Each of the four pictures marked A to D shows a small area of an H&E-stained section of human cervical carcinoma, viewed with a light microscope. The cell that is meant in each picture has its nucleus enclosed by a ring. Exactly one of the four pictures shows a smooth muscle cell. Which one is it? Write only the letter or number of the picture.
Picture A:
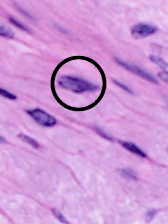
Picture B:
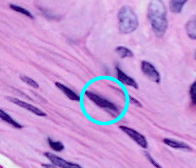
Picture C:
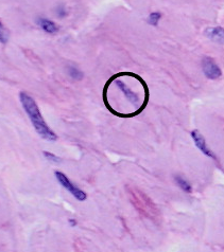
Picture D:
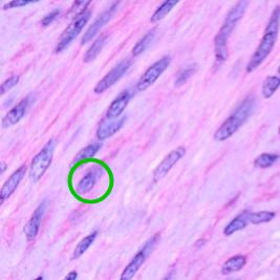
D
